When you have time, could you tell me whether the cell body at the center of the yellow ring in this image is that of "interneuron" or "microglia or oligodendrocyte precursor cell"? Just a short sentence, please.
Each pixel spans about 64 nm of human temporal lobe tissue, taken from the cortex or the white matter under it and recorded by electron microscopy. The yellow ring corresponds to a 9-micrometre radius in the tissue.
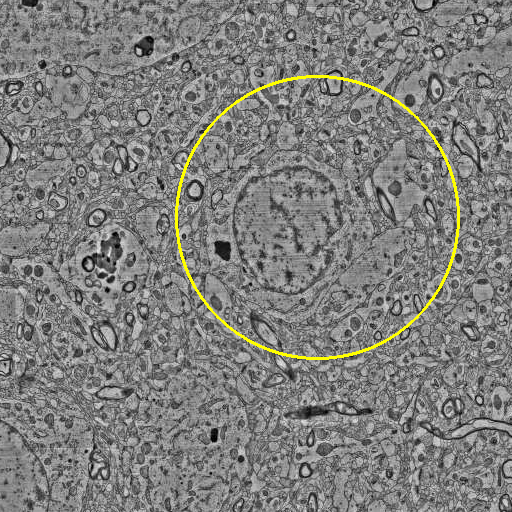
The cell body at the center of the ring is that of an interneuron.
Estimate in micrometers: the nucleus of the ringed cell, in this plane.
In this plane the nucleus measures roughly 8 by 7 micrometres.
